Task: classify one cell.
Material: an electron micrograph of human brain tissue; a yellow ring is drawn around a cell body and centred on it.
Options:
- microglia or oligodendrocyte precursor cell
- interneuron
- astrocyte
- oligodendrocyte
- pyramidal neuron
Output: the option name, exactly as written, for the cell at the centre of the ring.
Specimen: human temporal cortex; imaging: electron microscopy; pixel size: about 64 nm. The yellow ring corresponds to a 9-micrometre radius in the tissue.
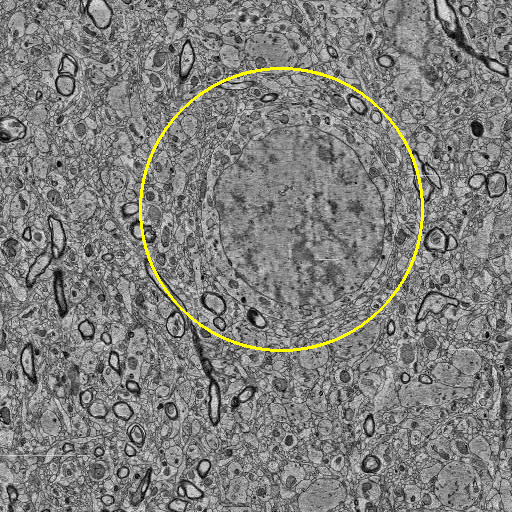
interneuron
